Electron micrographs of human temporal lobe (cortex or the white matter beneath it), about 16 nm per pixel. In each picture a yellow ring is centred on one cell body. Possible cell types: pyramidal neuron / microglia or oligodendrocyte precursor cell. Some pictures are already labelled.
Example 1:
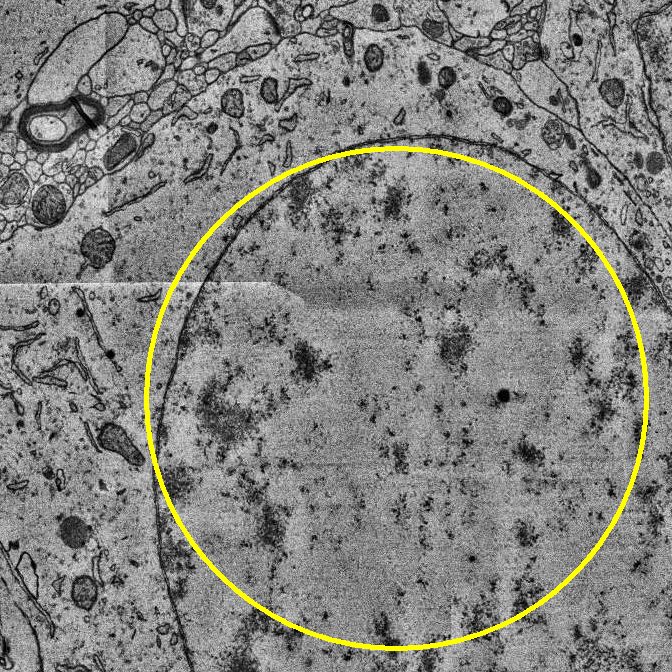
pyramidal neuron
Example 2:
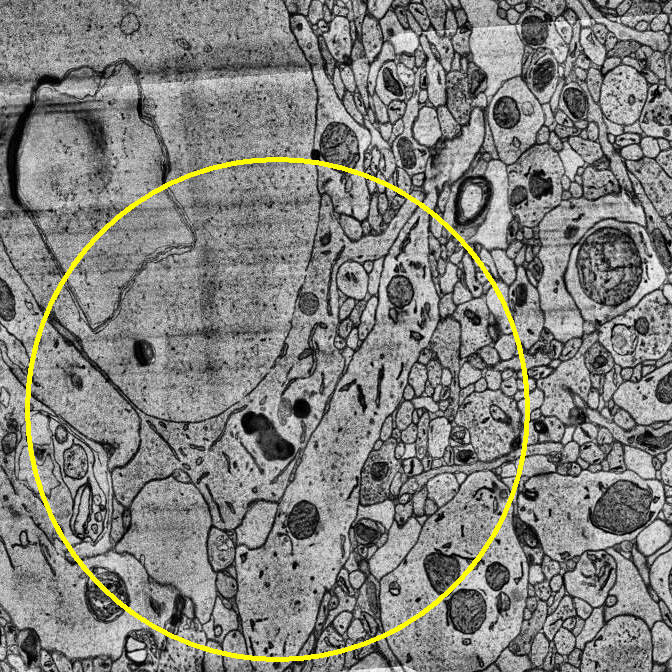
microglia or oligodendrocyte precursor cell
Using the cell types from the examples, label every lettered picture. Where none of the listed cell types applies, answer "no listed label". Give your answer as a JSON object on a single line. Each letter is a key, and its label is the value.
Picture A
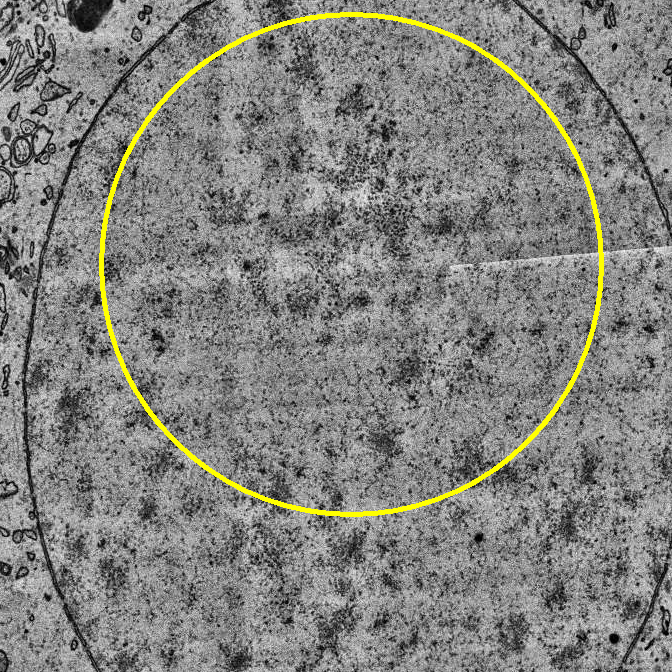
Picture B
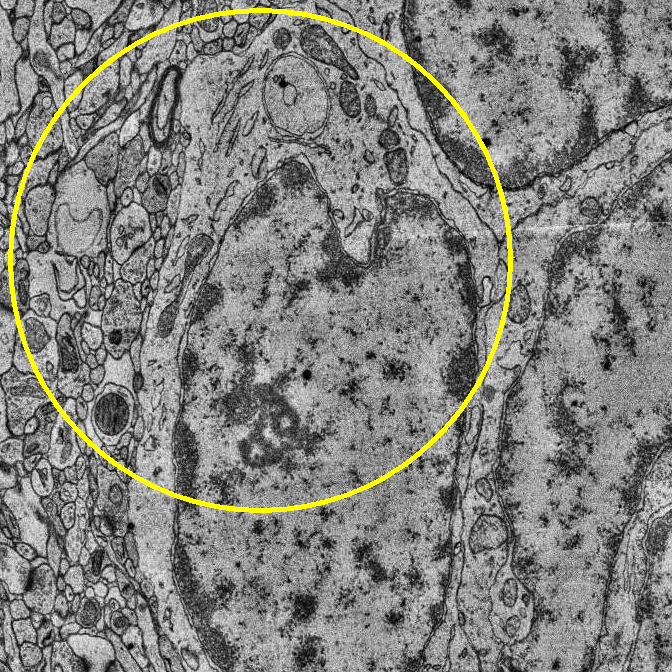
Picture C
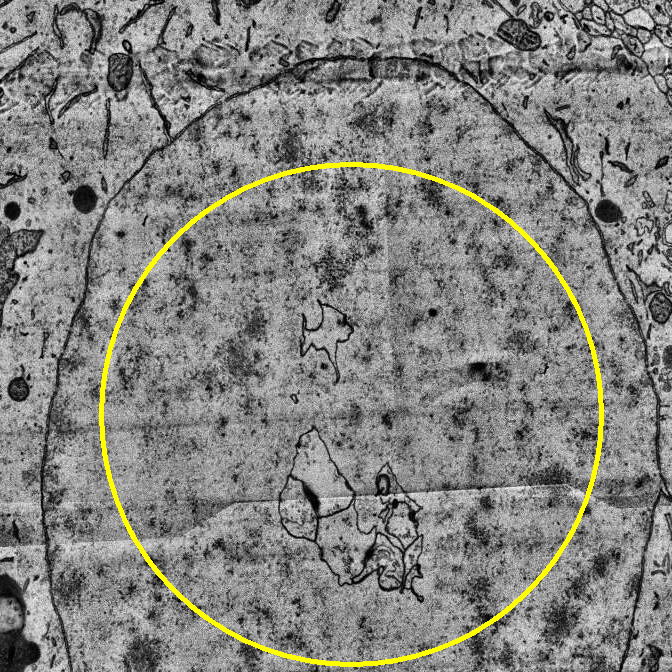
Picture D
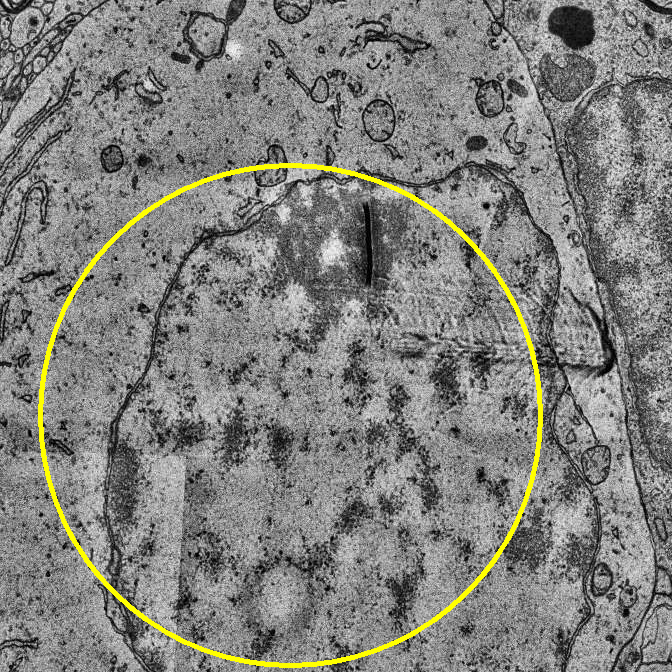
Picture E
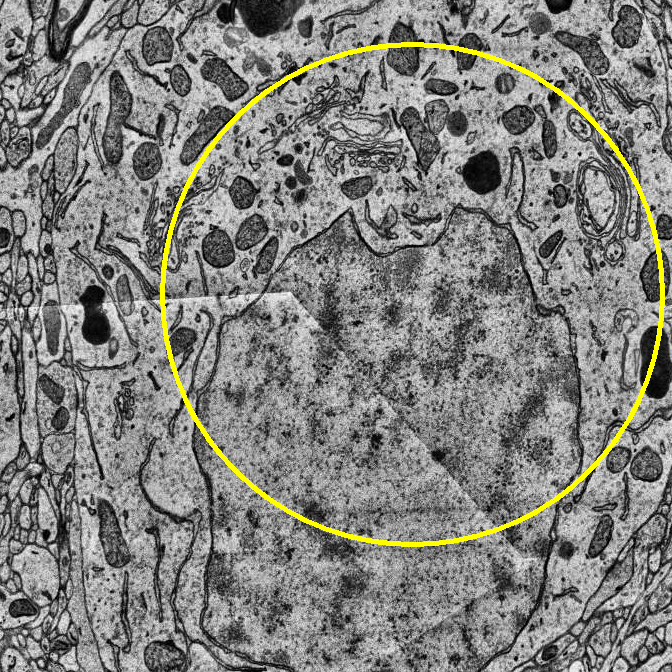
{"A": "pyramidal neuron", "B": "microglia or oligodendrocyte precursor cell", "C": "pyramidal neuron", "D": "no listed label", "E": "no listed label"}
